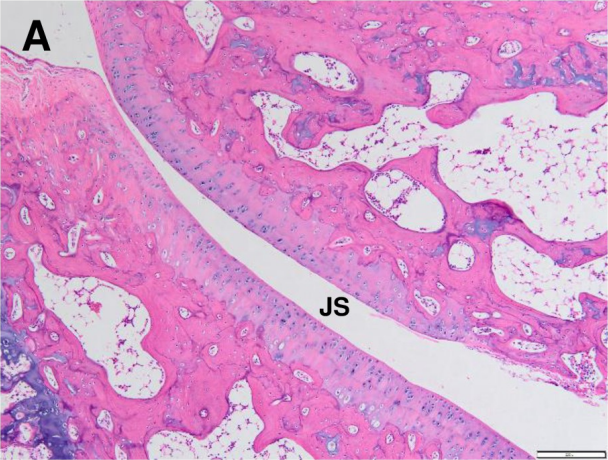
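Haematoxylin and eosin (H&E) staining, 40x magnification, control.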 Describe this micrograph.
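This is a joint in section, with two articular cartilage surfaces facing each other across a clear, empty joint space. The cartilage surfaces are even and the joint space is regular.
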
